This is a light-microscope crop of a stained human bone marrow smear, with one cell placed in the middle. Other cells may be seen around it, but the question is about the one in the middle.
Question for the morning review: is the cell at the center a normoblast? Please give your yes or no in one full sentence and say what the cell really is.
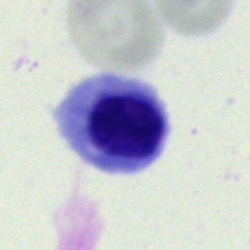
Yes, that is a normoblast in the middle of the crop.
